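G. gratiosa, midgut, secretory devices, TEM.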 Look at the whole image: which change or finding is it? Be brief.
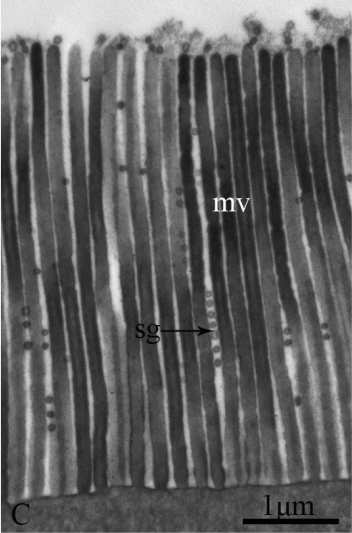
Merocrine secretion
